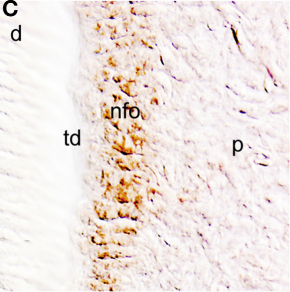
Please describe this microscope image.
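This is the border between dentin and dental pulp, where a row of odontoblasts lines the inner dentin surface. On the left the dentin is pale and finely striated by tubules, and its inner layer is smooth and unstained. Against it lies a band of crowded, irregular cells packed with brown granular stain. To the right the pulp is loose and pale, with scattered slender spindle-shaped cells.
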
